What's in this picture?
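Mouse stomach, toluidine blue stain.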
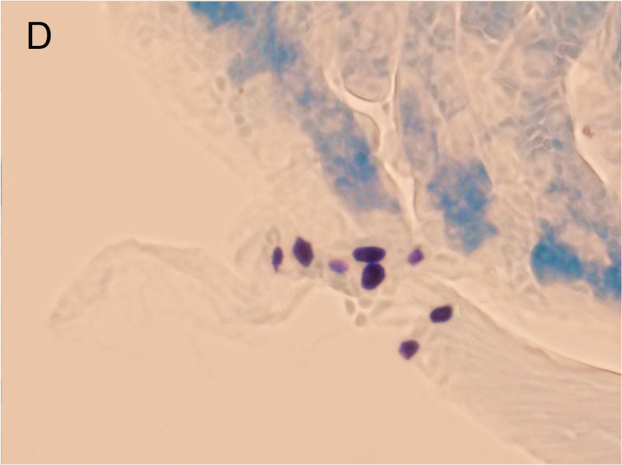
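Gastric wall at high magnification, with a small group of mast cells lying in the connective tissue just below the glandular mucosa. The mast cells are oval and stain deep purple, standing out sharply from the pale blue glandular epithelium and the unstained, faintly pink connective tissue around them.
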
